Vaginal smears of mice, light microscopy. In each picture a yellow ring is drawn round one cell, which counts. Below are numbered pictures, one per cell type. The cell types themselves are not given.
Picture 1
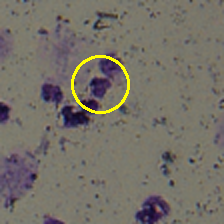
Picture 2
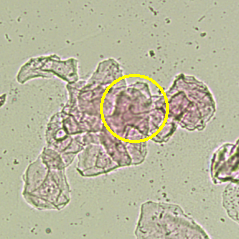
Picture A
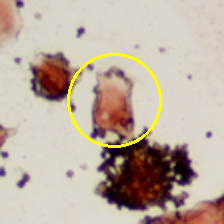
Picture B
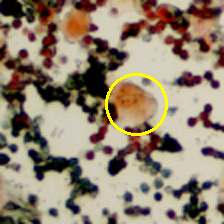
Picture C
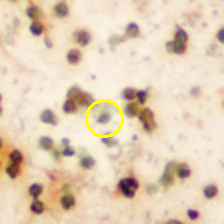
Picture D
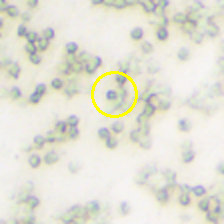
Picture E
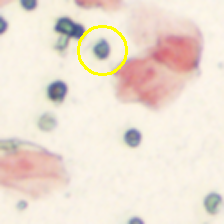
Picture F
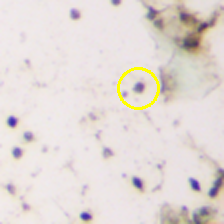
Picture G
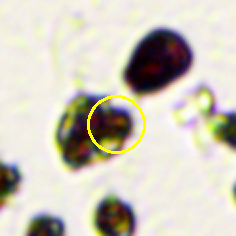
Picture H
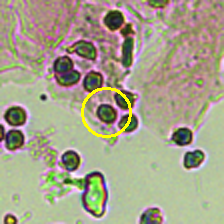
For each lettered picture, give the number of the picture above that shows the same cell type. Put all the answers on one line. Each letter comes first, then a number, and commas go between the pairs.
A 2, B 2, C 1, D 1, E 1, F 1, G 1, H 1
